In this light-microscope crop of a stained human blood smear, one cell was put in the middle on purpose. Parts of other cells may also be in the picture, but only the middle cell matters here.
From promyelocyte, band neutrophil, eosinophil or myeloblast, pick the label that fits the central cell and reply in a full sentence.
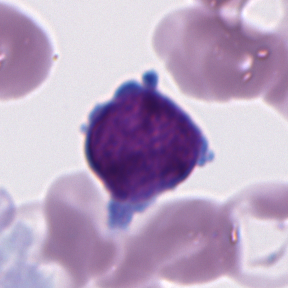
What sits at the centre of this crop is a myeloblast.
